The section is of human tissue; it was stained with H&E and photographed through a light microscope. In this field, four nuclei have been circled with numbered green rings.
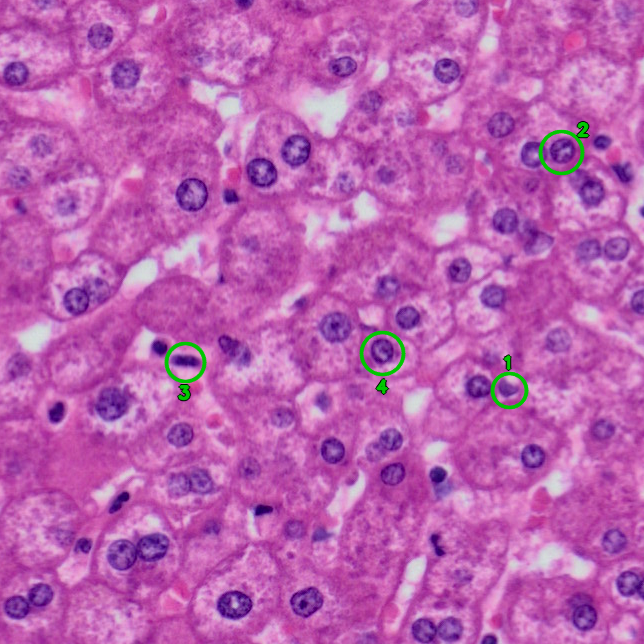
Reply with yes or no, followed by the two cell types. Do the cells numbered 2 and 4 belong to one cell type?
Yes, both are hepatocytes.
